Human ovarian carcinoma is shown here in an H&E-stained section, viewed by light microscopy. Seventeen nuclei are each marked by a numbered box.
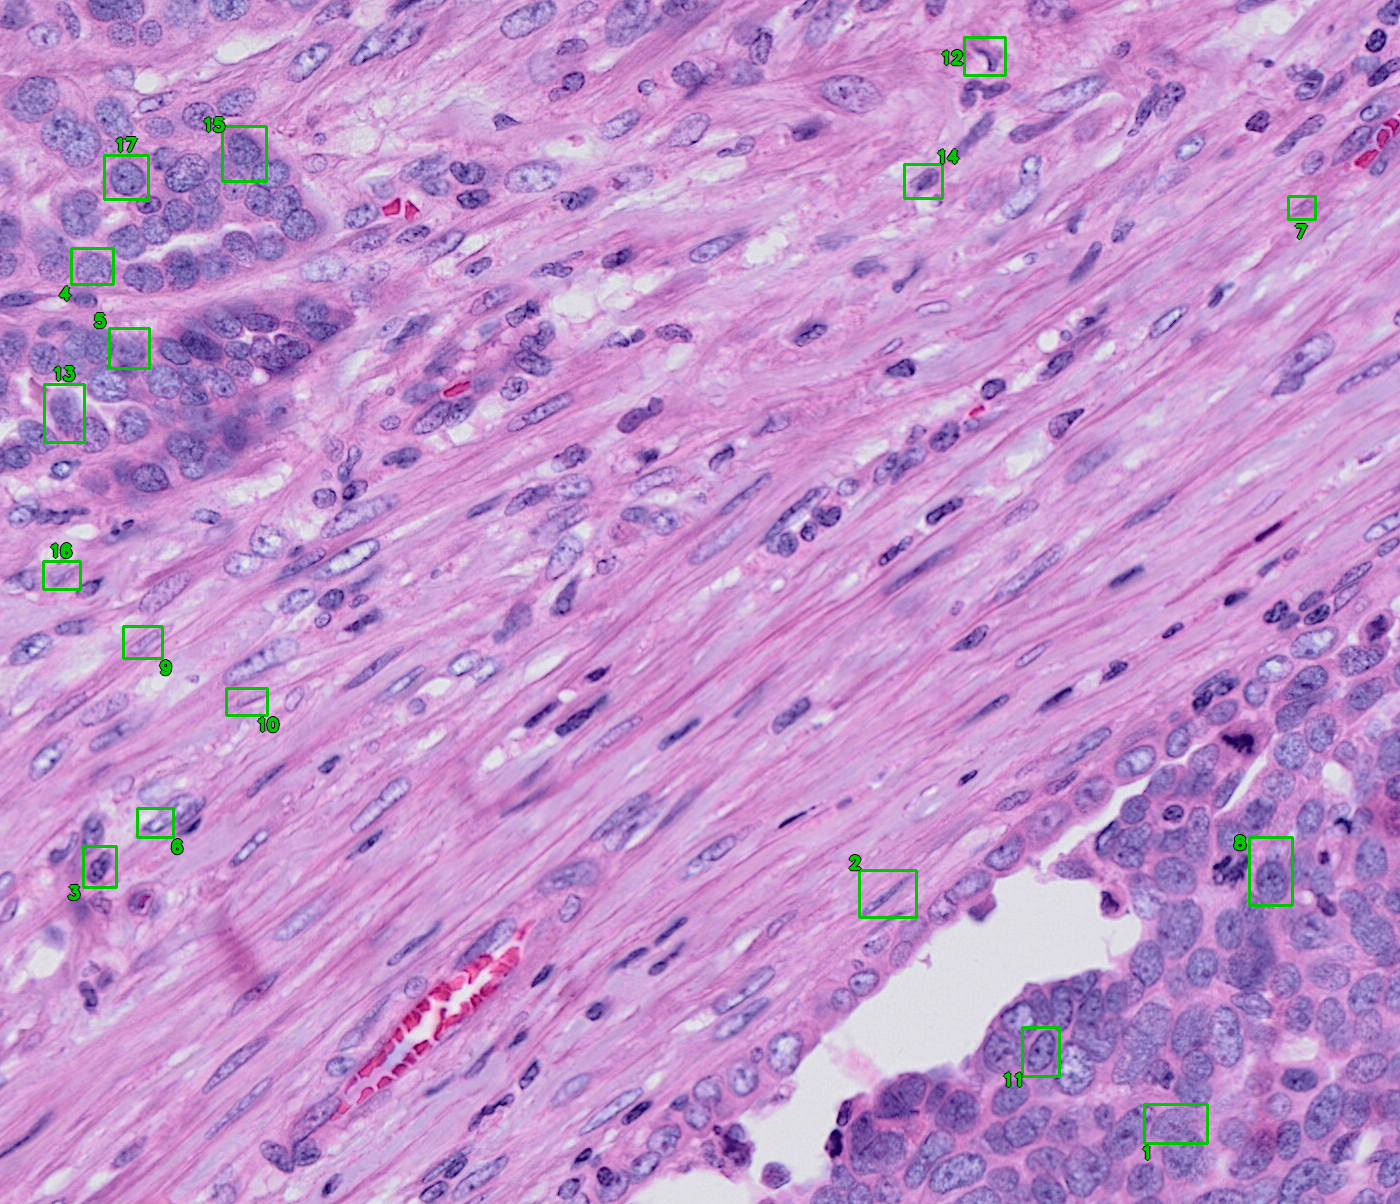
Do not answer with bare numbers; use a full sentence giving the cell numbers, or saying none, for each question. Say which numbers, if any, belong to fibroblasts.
In this section, the cells numbered 2, 6, 7, 9, 10, 12 and 16 are fibroblasts.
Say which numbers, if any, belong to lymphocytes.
Cell 3 is the only numbered cell that is a lymphocyte.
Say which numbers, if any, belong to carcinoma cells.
The cells carrying labels 1, 4, 5, 8, 11, 13, 15 and 17 are carcinoma cells.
